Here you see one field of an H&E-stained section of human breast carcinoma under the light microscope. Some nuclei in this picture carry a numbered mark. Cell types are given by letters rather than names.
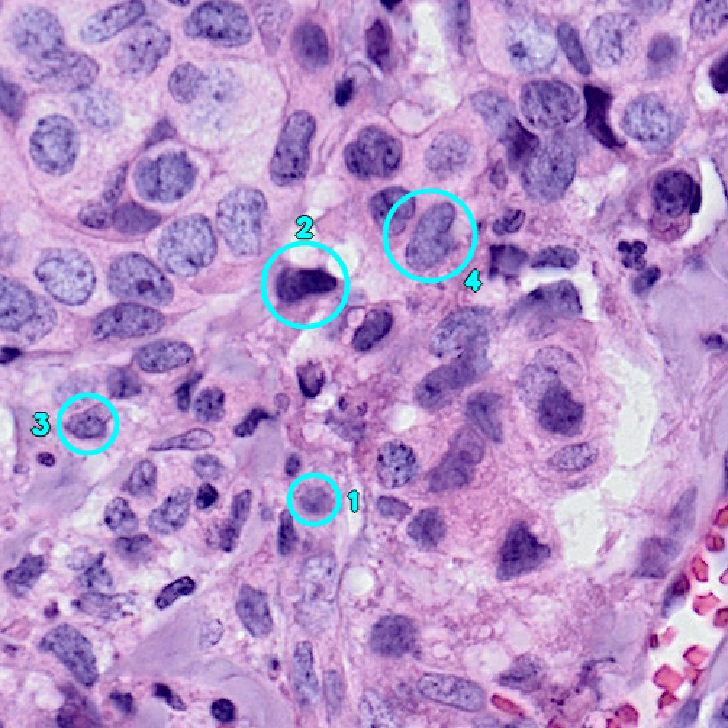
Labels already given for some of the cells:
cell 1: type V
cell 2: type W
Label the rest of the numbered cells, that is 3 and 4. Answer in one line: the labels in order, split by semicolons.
type V; type W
